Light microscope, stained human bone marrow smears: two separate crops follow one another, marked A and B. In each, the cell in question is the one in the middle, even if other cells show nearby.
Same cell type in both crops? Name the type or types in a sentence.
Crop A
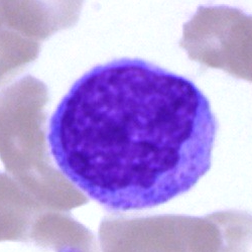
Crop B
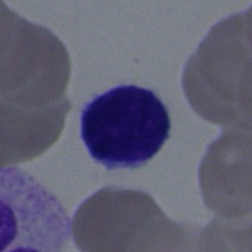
No, crop A shows a blast, and the cell in crop B is a lymphocyte.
